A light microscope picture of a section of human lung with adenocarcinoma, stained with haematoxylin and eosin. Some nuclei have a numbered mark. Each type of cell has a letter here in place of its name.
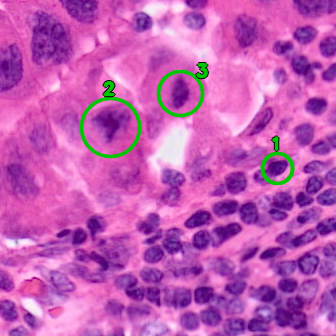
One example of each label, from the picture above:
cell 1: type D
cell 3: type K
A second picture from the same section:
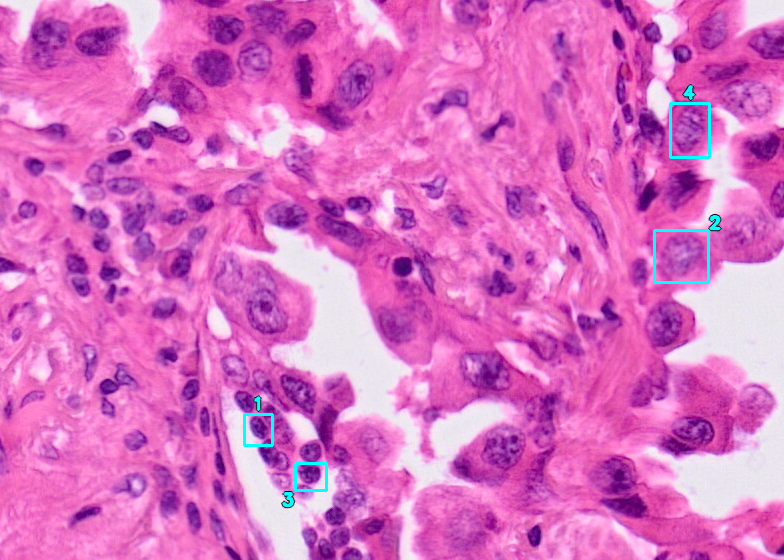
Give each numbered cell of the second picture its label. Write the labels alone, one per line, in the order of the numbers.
type D
type K
type D
type K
